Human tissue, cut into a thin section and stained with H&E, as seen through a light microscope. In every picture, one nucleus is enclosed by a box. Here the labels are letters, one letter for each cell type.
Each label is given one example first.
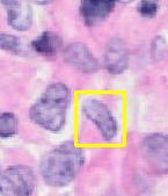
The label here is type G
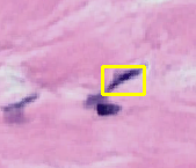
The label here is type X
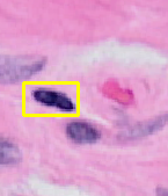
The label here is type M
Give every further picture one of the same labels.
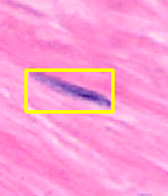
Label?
type X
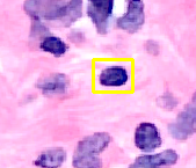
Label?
type M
